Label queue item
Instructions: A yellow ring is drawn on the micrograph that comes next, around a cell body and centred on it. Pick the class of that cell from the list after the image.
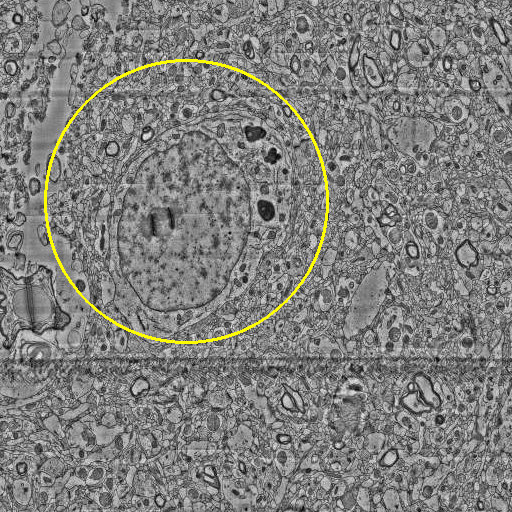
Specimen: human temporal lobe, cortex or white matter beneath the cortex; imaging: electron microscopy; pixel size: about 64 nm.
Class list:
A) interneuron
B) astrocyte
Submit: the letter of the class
A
